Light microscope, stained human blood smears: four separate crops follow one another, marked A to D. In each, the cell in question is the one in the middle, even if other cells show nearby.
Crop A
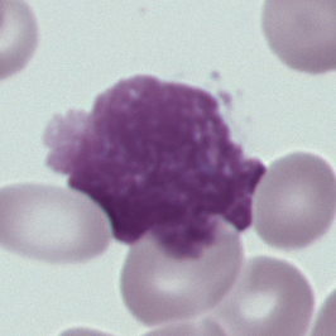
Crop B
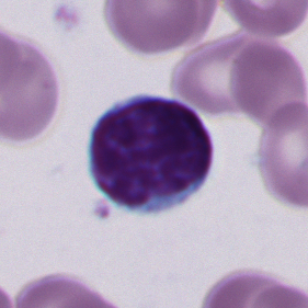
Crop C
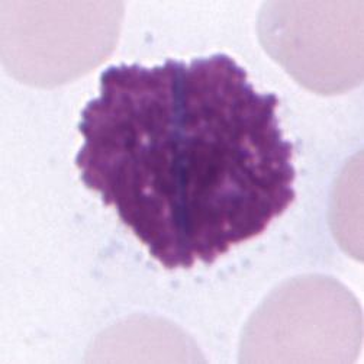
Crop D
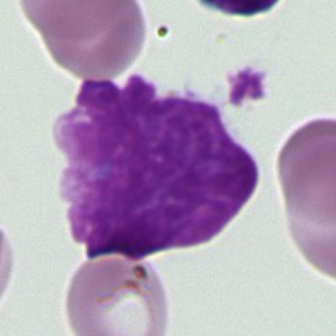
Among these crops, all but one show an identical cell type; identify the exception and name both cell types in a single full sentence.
Unlike the rest, which all show smudge cells, crop B contains a typical lymphocyte.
